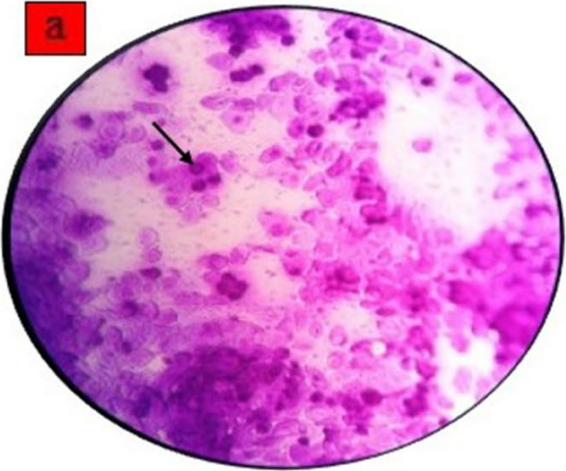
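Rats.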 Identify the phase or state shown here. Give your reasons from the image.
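The smear consists mainly of rounded cells with nuclei, often in clusters. So: proestrus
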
